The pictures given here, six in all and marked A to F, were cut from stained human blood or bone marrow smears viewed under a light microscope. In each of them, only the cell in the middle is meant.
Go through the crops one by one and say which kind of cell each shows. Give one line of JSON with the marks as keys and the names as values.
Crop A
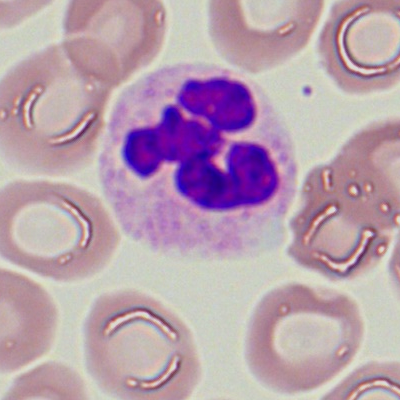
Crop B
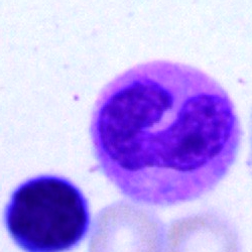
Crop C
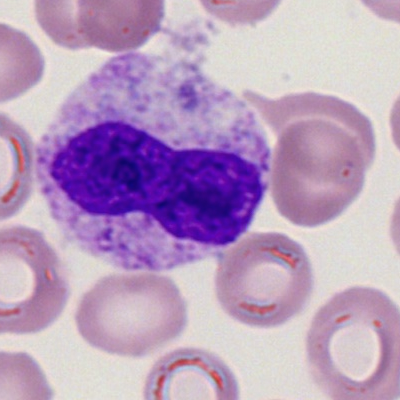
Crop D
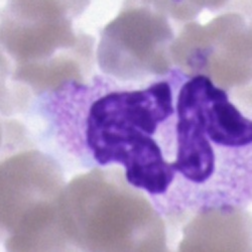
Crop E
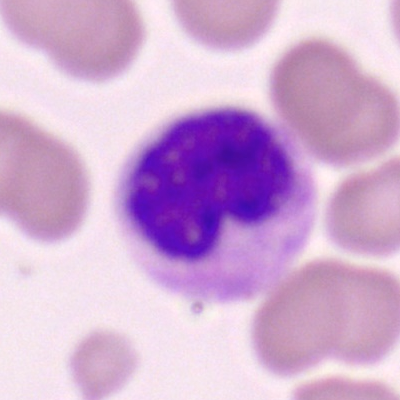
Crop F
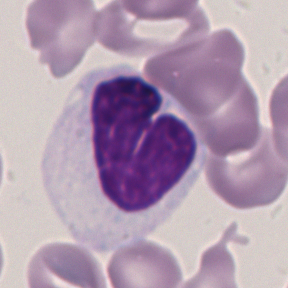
{"A": "segmented neutrophil", "B": "band neutrophil", "C": "band neutrophil", "D": "segmented neutrophil", "E": "band neutrophil", "F": "band neutrophil"}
